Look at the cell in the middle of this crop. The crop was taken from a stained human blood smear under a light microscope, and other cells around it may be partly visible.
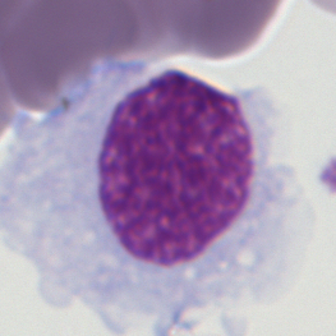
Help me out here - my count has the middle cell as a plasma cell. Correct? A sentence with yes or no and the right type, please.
No, it is a hairy cell rather than a plasma cell that the middle of the crop contains.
